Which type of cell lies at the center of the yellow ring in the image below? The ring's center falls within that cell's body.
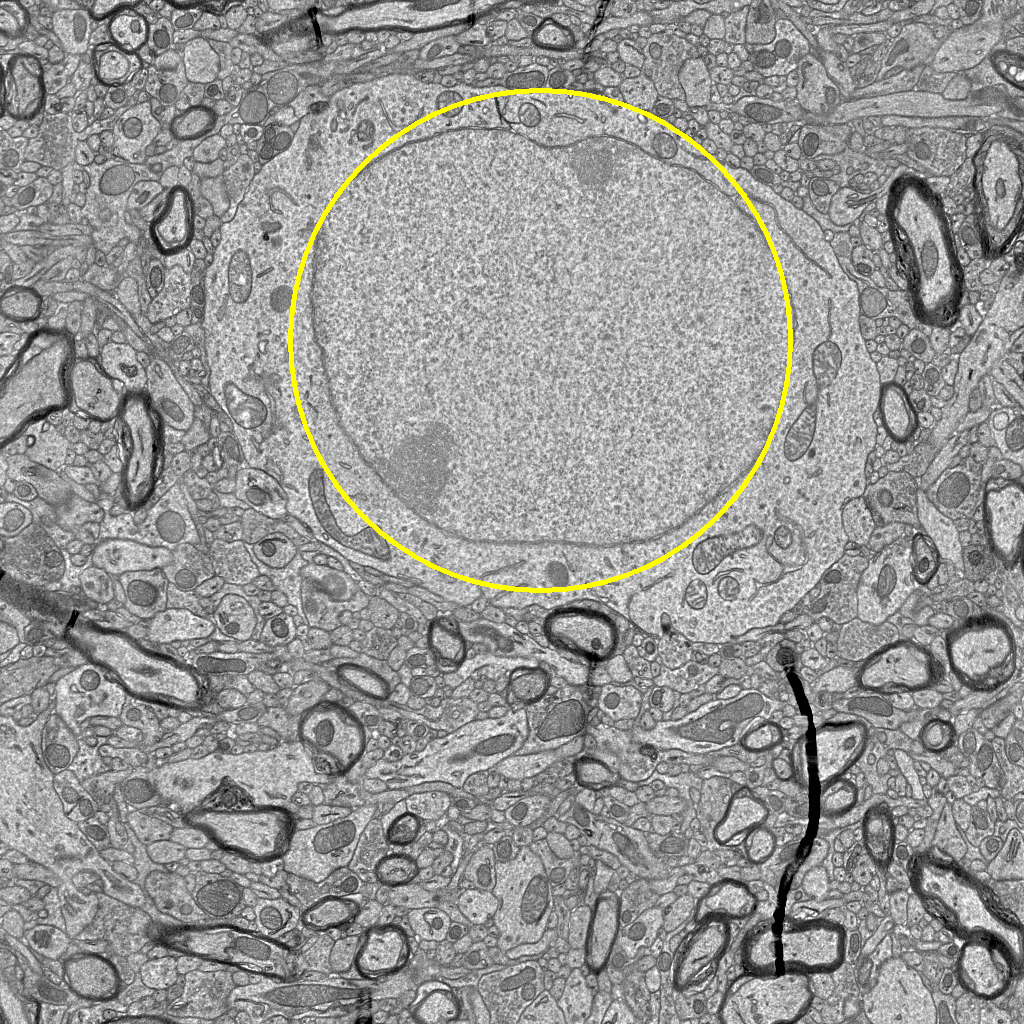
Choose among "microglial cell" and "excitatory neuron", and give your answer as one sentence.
The cell body at the center belongs to an excitatory neuron.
